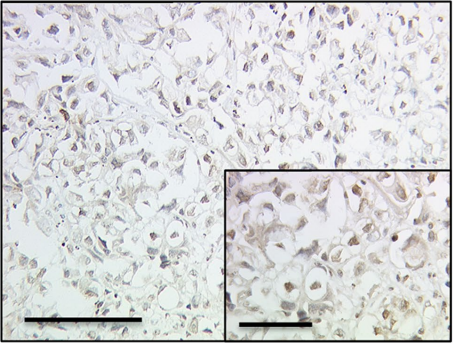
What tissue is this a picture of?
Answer: Clear cell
